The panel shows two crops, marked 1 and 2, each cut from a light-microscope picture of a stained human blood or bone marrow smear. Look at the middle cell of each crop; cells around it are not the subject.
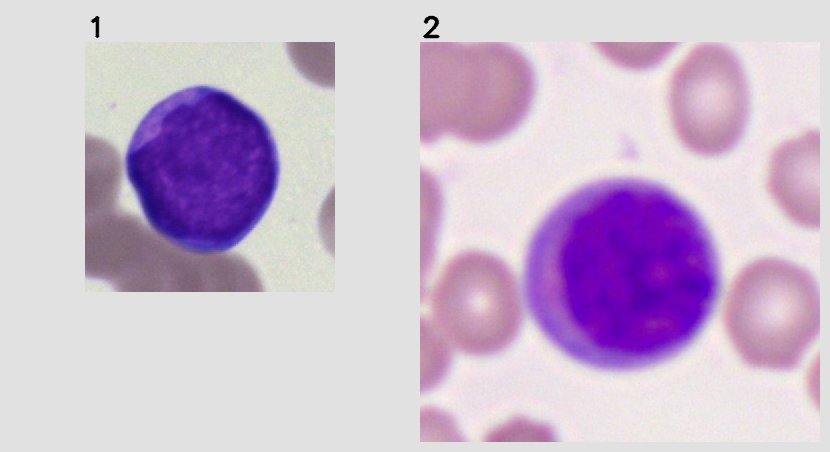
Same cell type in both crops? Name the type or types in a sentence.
Yes, blasts are what the two crops show.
